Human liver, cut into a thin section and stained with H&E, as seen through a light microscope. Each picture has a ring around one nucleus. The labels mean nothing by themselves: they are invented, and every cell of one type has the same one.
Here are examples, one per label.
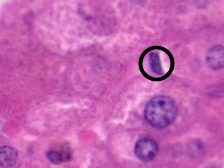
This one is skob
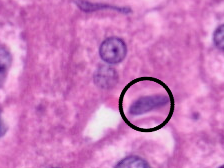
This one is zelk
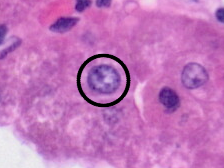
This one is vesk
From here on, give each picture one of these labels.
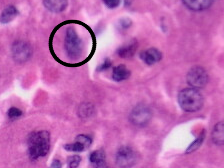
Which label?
skob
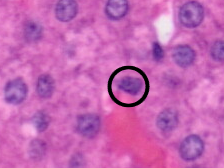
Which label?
skob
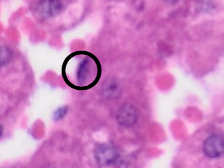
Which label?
skob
